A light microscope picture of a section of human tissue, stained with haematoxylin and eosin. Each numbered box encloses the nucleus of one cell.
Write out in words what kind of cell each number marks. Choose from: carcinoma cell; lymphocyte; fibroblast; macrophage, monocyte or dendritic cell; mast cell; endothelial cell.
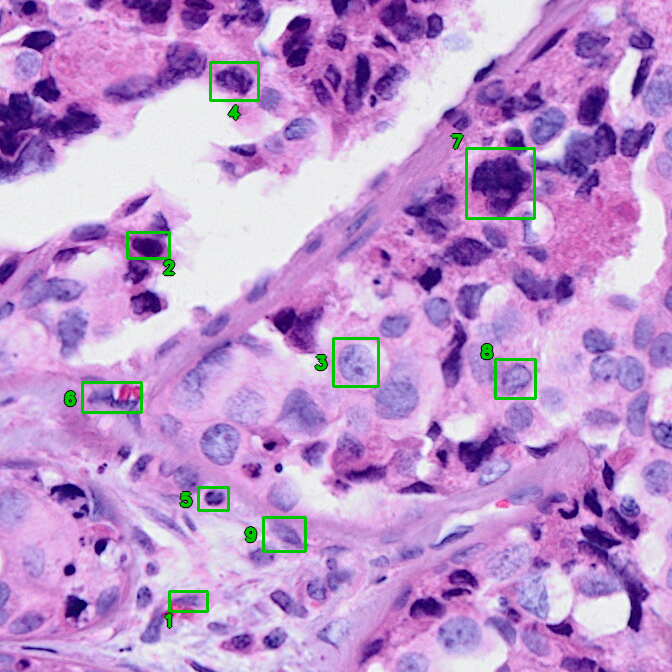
Cell 1 is an endothelial cell, cell 2 is a carcinoma cell, cell 3 is a carcinoma cell, cell 4 is a carcinoma cell, cell 5 is a mast cell, cell 6 is an endothelial cell, cell 7 is a carcinoma cell, cell 8 is a carcinoma cell and cell 9 is an endothelial cell.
